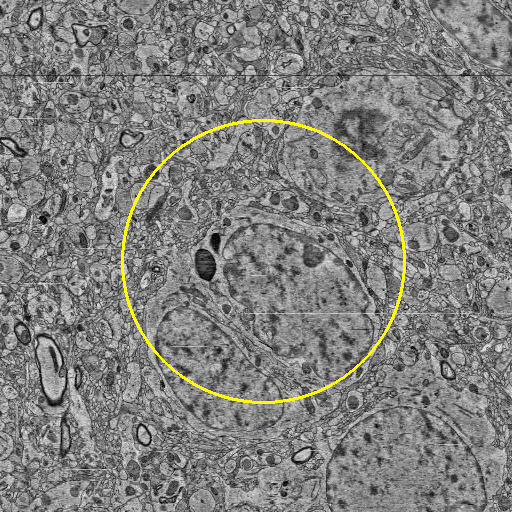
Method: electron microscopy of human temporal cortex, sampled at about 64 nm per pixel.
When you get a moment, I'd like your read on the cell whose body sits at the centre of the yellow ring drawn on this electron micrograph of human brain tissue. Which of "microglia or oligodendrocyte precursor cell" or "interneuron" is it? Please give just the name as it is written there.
interneuron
